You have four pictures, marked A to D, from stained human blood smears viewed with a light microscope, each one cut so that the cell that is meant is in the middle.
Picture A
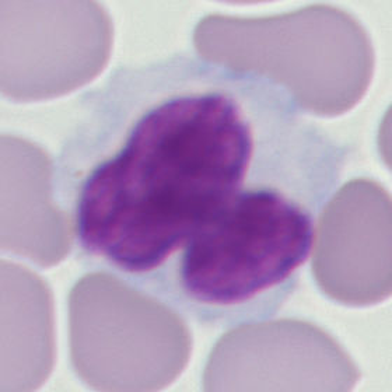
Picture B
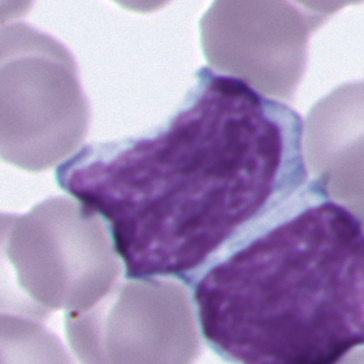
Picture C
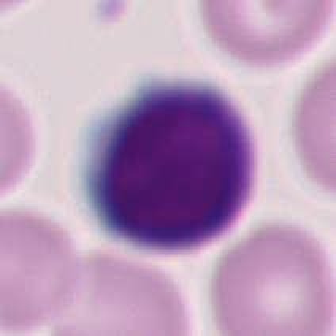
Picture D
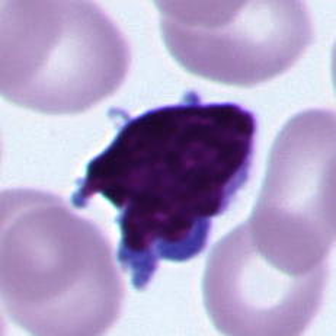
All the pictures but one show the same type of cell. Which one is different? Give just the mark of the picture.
A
